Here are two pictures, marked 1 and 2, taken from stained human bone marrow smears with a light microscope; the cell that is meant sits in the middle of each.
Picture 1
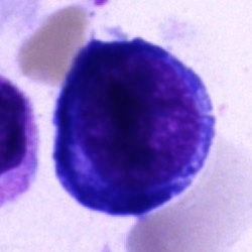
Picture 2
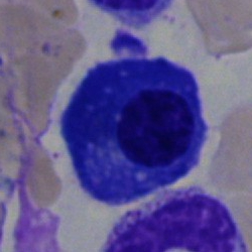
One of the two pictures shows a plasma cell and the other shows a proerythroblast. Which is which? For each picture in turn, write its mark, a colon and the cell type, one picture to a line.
1: proerythroblast
2: plasma cell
